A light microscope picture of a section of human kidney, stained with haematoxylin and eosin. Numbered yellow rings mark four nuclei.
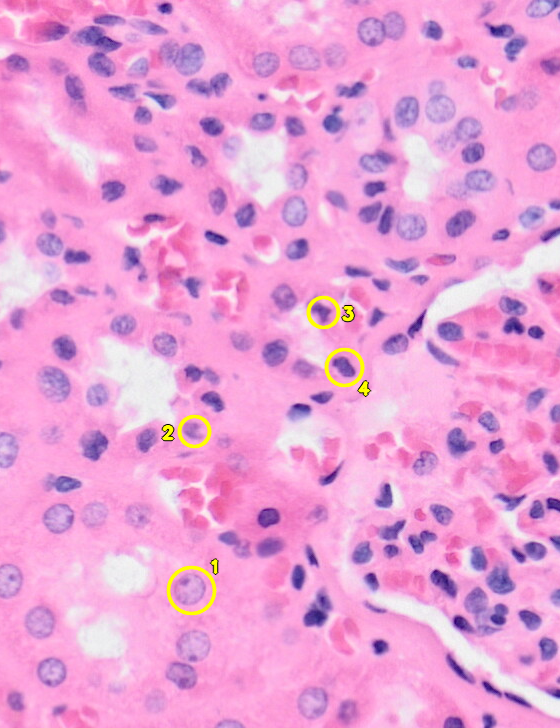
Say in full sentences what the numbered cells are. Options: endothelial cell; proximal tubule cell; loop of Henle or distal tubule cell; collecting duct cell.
Cell 1 is a proximal tubule cell. Cells 2, 3 and 4 are loop of Henle or distal tubule cells.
